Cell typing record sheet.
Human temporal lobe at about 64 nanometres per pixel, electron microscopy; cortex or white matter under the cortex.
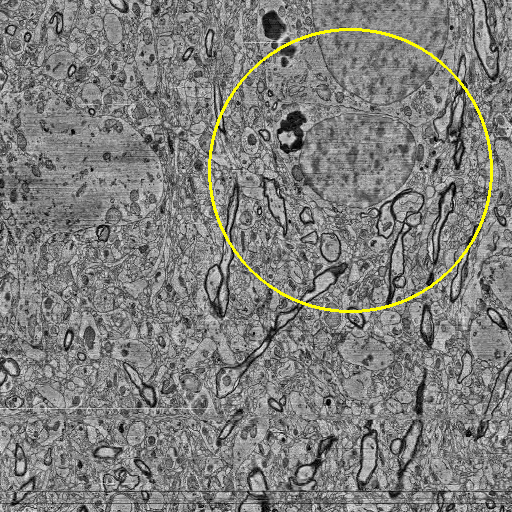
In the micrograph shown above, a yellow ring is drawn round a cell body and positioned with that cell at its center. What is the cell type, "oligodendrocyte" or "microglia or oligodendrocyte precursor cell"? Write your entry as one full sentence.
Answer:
The cell body at the center of the ring belongs to an oligodendrocyte.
